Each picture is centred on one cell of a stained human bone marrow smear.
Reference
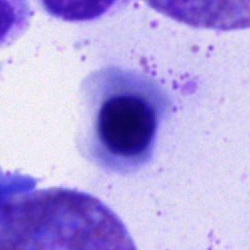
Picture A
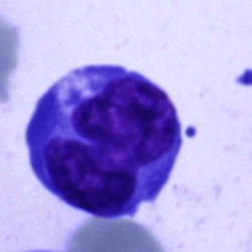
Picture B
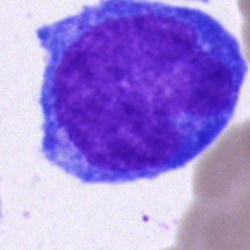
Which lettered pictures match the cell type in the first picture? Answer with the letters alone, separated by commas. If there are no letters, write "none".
none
